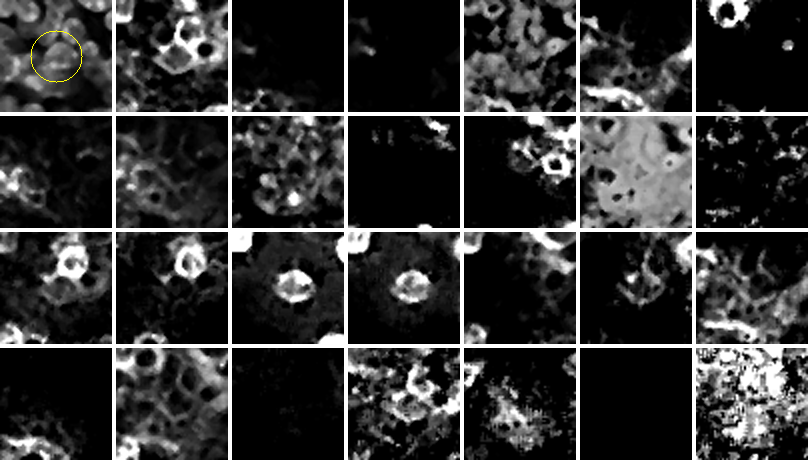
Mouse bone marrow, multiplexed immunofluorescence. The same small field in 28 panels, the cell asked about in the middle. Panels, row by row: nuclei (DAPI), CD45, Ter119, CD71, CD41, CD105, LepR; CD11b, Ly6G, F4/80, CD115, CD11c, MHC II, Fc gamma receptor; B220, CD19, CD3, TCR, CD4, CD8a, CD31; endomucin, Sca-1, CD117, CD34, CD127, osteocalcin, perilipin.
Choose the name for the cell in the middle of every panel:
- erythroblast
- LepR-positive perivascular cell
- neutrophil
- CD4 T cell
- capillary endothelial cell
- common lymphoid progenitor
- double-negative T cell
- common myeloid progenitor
double-negative T cell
